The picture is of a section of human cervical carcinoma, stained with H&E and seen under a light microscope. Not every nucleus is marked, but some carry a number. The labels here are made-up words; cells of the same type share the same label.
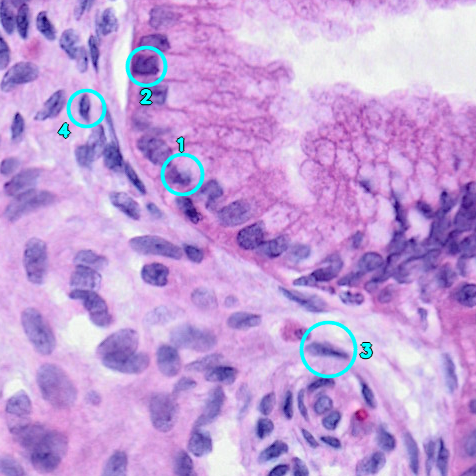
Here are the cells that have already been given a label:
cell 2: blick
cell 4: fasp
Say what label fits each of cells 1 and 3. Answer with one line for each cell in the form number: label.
1: blick
3: fasp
